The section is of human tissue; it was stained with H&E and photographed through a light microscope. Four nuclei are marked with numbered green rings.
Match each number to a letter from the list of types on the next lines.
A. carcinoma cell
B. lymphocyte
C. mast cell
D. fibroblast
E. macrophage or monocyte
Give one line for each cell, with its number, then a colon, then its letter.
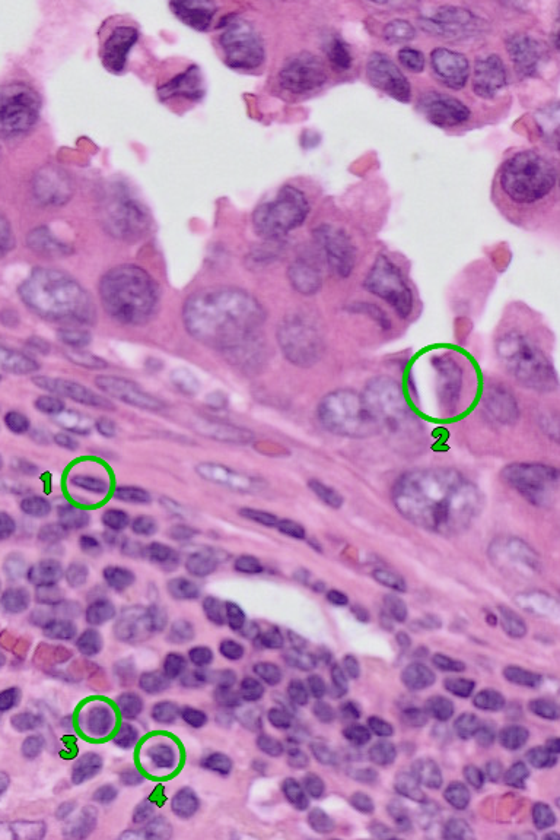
1: B
2: A
3: B
4: B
